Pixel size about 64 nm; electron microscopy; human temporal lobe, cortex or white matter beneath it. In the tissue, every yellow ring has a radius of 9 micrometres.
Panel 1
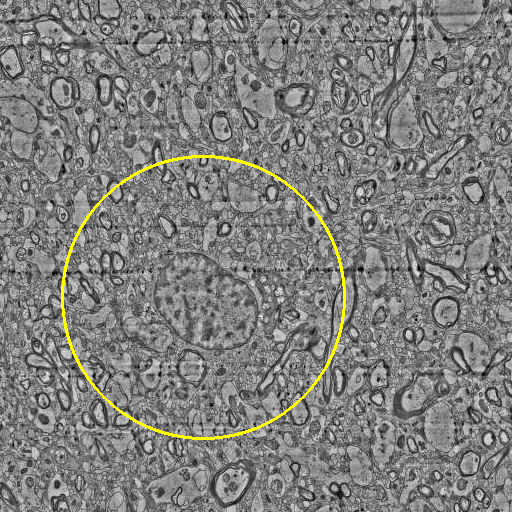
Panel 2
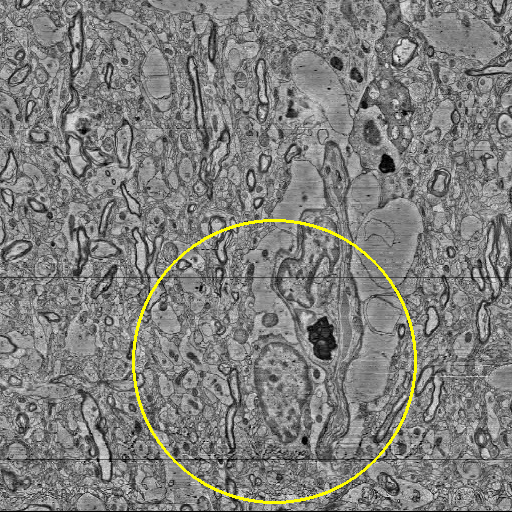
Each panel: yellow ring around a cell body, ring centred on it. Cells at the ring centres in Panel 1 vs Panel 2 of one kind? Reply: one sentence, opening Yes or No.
Yes, Panel 1 and Panel 2 have cells of one kind at the ring centres.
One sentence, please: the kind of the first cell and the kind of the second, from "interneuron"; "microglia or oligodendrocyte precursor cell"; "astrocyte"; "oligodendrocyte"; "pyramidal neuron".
Each one of the two ringed cells is an oligodendrocyte.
